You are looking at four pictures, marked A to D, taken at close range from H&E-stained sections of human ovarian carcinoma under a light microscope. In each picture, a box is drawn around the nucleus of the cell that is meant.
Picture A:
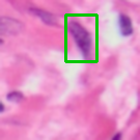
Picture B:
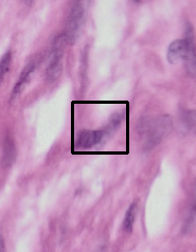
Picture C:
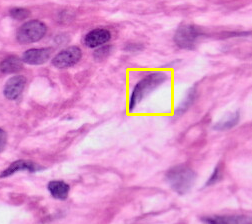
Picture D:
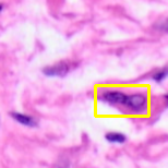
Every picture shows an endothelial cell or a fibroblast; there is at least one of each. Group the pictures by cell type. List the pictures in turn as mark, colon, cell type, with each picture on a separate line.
A: fibroblast
B: fibroblast
C: fibroblast
D: endothelial cell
